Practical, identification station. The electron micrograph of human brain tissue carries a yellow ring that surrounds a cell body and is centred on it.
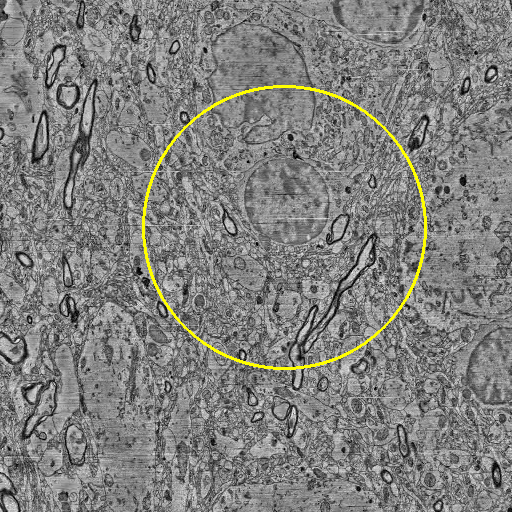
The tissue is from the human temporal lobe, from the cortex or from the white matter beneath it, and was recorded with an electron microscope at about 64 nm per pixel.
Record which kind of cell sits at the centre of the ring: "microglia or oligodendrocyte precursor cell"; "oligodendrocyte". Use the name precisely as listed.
oligodendrocyte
